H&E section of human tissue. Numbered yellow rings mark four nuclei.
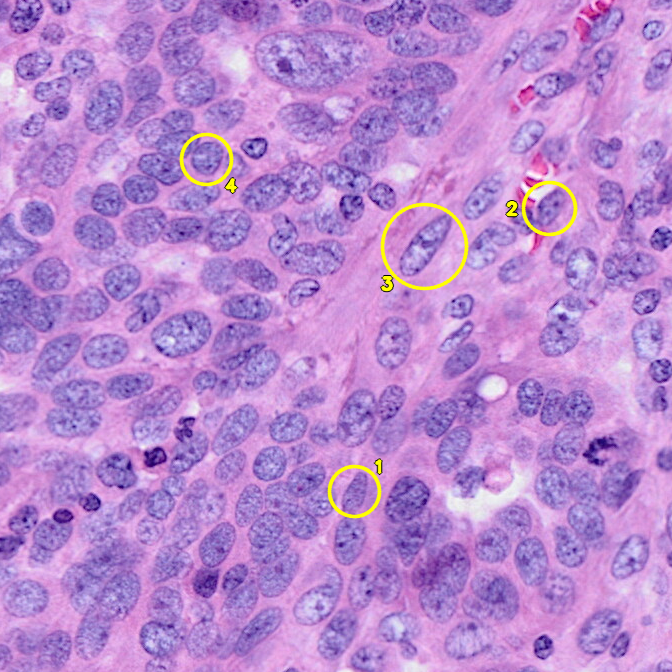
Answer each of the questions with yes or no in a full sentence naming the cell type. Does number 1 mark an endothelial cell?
No, number 1 marks a carcinoma cell rather than an endothelial cell.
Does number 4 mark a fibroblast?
No, cell 4 is not a fibroblast. It is a carcinoma cell.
